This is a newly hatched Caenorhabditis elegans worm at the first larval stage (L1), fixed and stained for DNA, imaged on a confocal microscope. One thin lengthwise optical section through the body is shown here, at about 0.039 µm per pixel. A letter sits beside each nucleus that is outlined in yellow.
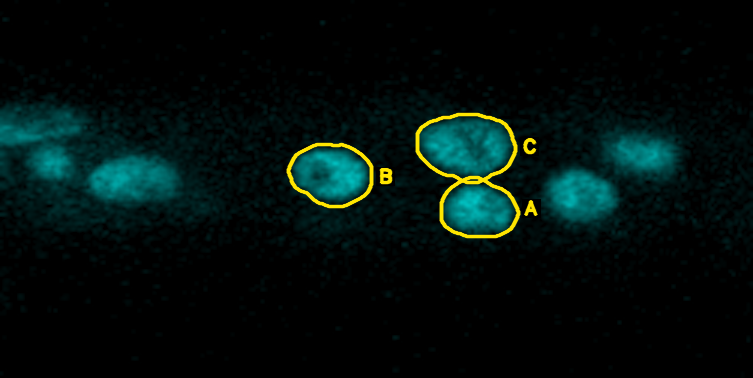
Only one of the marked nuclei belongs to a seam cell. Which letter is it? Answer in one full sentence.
B is the one that belongs to a seam cell.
